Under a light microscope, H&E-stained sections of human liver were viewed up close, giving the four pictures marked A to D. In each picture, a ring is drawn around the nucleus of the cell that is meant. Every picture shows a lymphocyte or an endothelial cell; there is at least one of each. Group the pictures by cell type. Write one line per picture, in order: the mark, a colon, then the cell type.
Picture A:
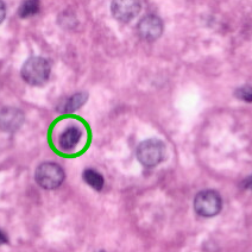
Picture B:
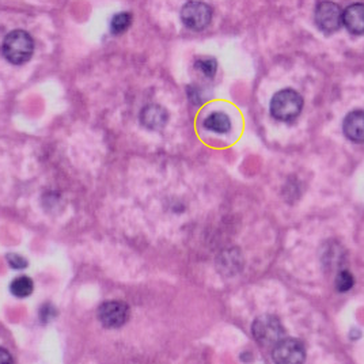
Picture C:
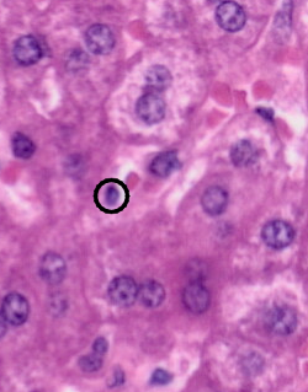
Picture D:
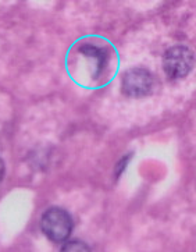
A: lymphocyte
B: lymphocyte
C: lymphocyte
D: endothelial cell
